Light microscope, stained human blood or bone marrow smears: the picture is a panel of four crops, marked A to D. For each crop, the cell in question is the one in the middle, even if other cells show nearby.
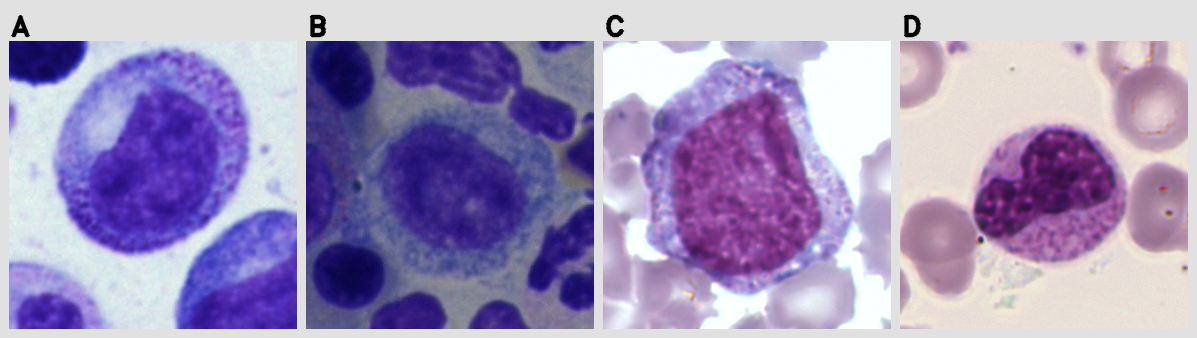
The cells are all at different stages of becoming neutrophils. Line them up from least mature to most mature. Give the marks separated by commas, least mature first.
C, B, A, D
